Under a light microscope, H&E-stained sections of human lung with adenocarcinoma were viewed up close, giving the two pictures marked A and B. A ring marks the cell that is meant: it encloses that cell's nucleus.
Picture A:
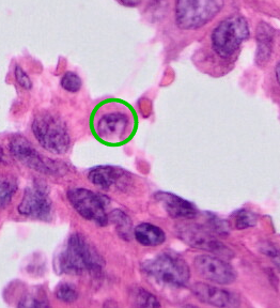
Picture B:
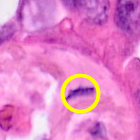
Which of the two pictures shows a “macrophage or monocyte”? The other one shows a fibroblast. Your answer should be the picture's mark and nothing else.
A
